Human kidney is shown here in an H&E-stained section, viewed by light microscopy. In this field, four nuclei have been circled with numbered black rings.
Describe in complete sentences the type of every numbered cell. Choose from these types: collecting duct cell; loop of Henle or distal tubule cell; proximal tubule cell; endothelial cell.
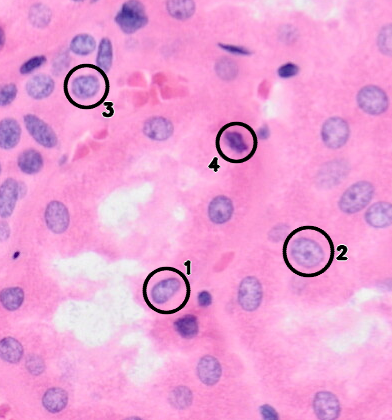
Cells 1, 2 and 4 are proximal tubule cells. Cell 3 is a collecting duct cell.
